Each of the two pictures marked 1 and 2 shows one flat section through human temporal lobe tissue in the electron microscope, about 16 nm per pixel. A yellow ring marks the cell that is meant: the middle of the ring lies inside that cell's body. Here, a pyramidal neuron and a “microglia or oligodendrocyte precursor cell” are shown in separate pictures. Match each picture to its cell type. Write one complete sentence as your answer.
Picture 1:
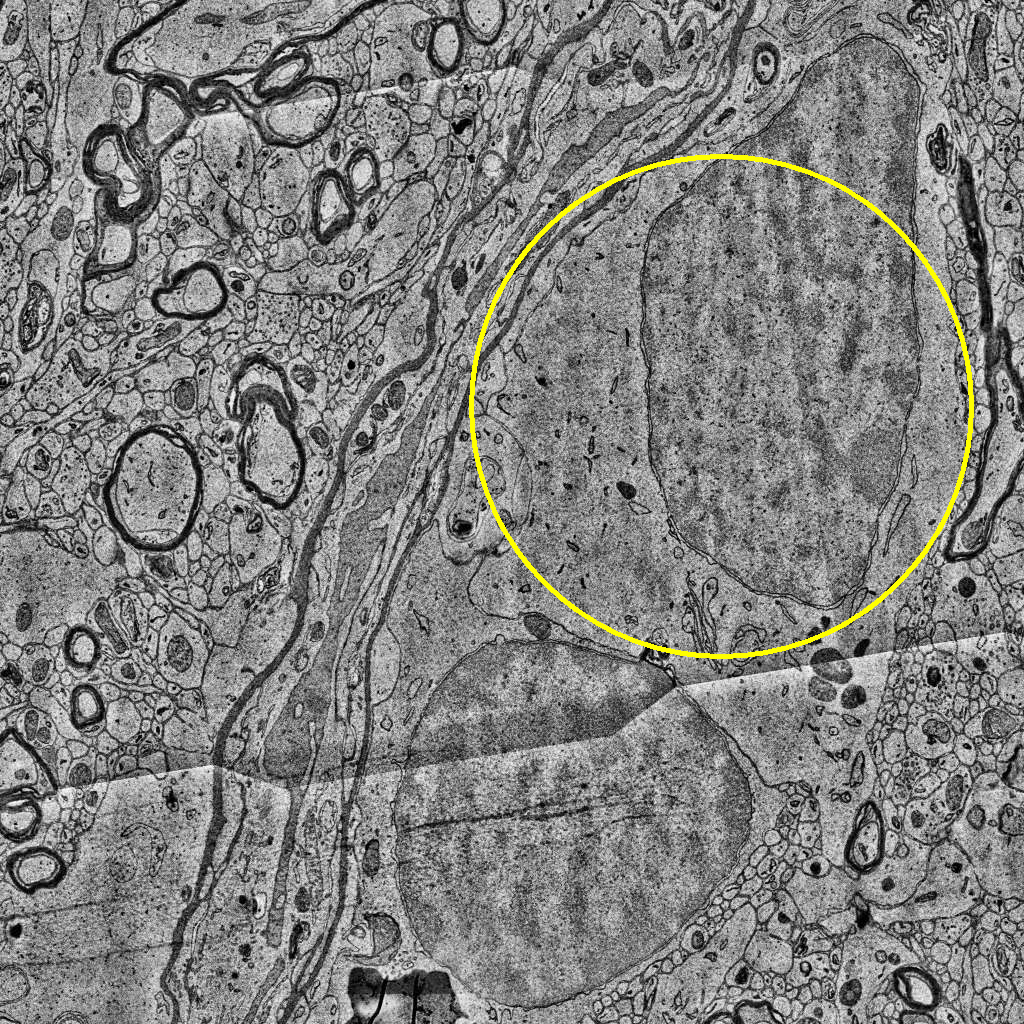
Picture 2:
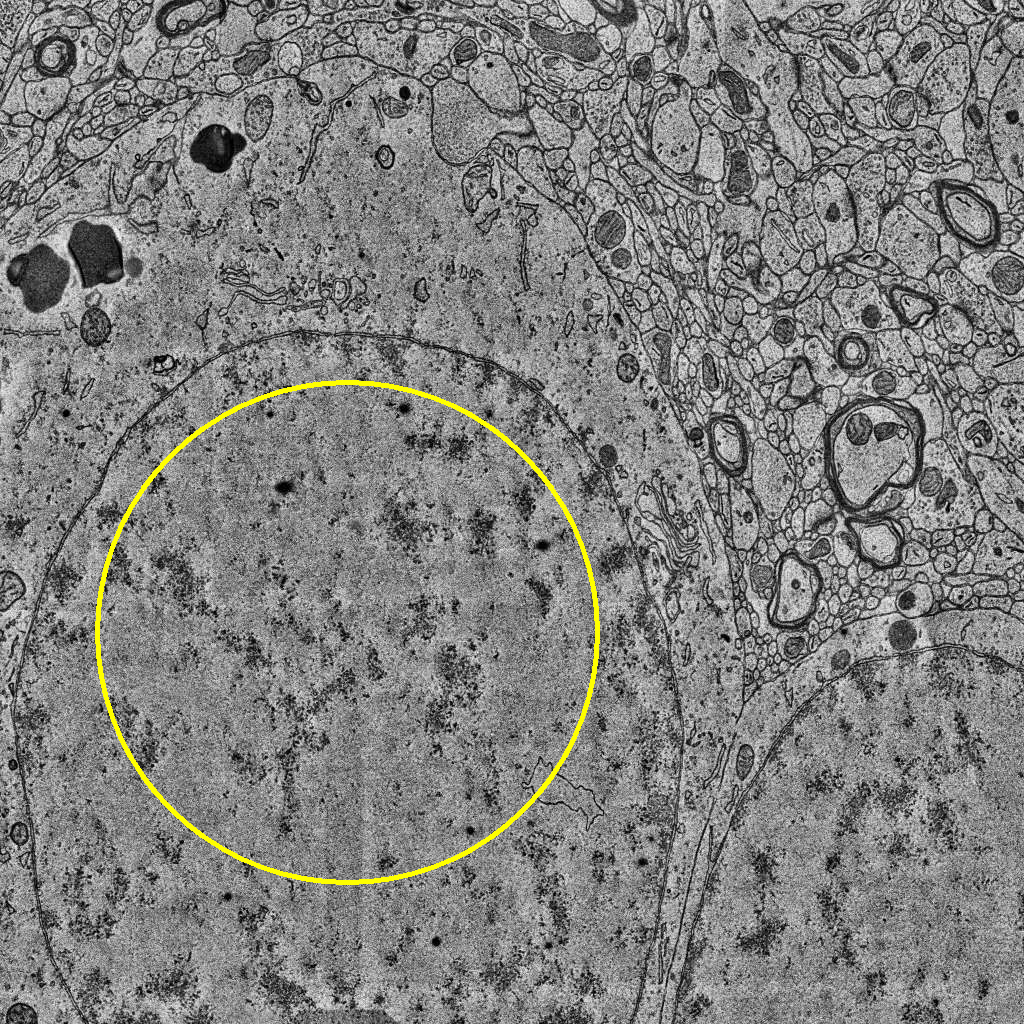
The cell in picture 1 is a “microglia or oligodendrocyte precursor cell”, and the one in picture 2 is a pyramidal neuron.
